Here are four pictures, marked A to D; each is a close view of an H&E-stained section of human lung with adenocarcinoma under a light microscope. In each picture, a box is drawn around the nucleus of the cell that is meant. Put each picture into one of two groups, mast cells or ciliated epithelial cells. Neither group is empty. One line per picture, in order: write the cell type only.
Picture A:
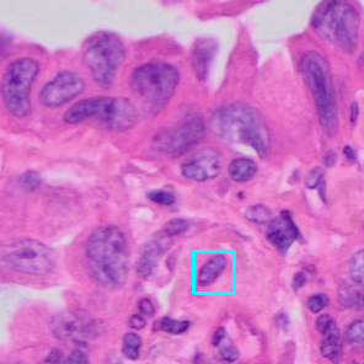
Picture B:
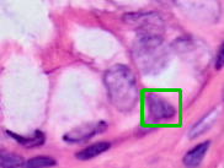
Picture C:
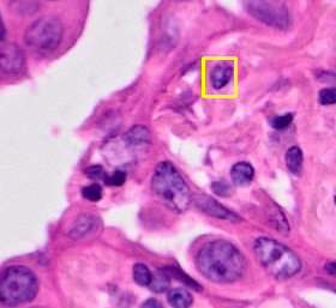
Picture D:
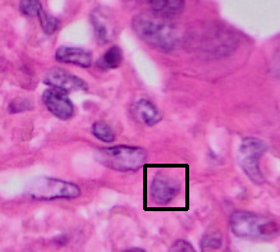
mast cell
ciliated epithelial cell
mast cell
mast cell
